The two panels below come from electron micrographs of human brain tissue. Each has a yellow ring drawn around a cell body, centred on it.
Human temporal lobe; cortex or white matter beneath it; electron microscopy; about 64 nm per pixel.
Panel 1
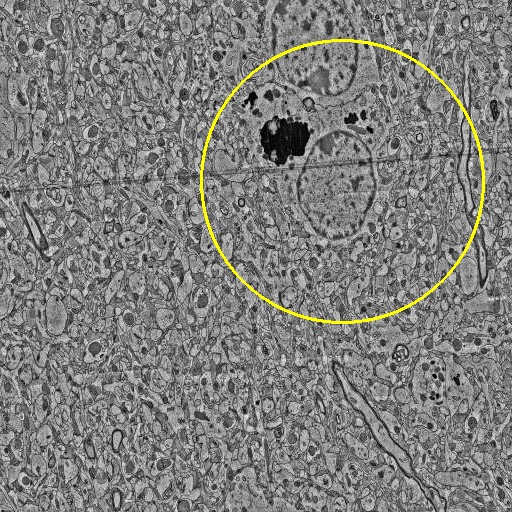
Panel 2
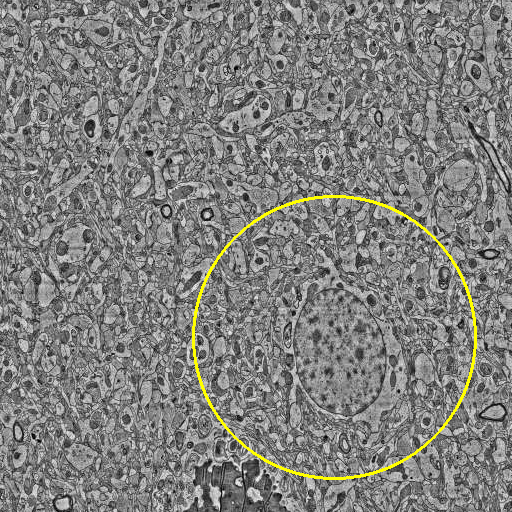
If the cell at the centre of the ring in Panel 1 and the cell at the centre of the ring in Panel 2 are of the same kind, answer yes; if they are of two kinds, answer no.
yes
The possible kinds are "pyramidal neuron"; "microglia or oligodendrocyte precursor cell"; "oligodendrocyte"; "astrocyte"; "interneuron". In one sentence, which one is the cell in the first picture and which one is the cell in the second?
In each picture the ringed cell is an astrocyte.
